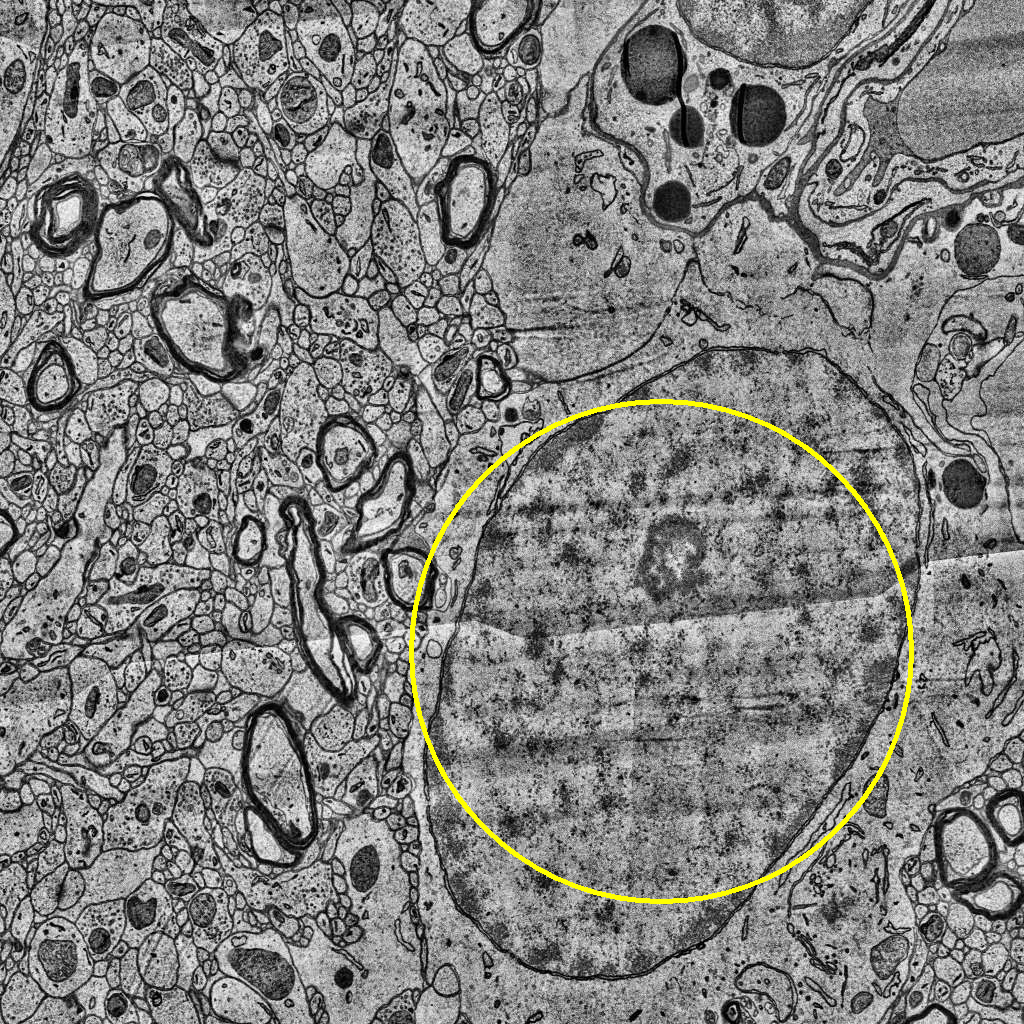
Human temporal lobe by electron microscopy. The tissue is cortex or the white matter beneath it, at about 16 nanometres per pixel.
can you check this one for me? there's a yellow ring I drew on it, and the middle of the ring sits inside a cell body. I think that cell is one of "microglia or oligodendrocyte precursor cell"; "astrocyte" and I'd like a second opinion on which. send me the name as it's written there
microglia or oligodendrocyte precursor cell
